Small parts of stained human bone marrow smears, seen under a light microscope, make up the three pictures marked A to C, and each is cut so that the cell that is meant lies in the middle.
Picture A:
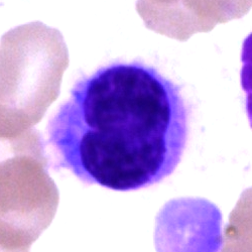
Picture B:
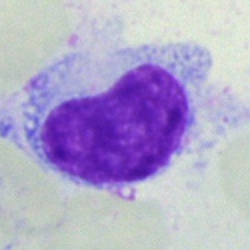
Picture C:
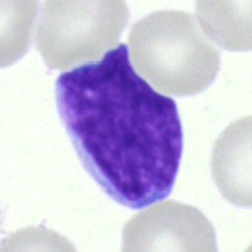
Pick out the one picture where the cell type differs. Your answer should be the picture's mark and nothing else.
C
